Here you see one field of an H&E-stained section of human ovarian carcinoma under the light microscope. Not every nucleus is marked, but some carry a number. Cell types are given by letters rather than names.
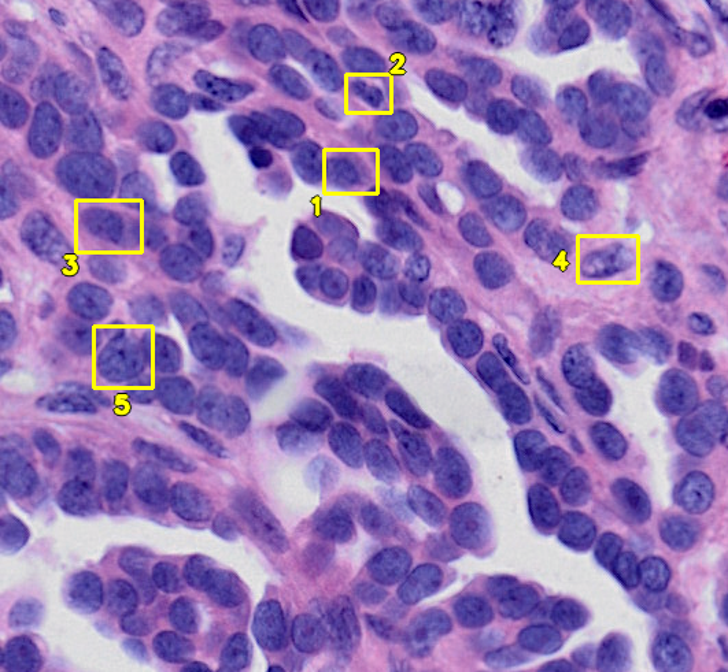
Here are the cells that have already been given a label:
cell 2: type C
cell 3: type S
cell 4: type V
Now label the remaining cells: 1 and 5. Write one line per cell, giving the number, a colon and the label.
1: type S
5: type S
